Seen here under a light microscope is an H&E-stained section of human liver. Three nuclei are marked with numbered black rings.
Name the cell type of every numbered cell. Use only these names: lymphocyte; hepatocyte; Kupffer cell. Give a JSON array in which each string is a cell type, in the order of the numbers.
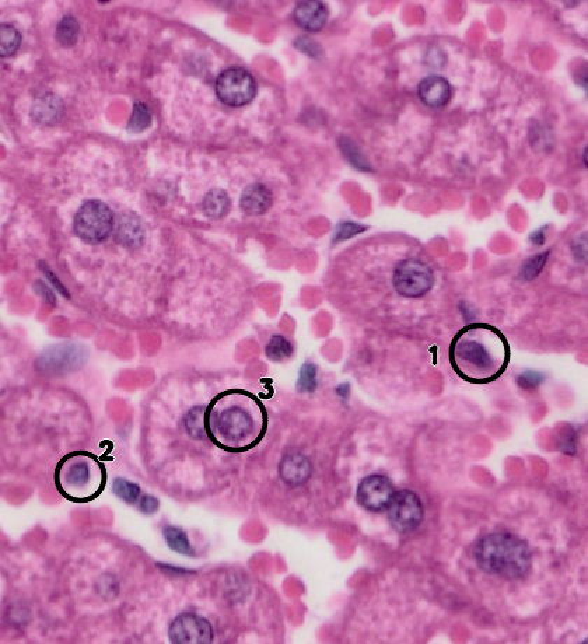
["Kupffer cell", "lymphocyte", "hepatocyte"]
